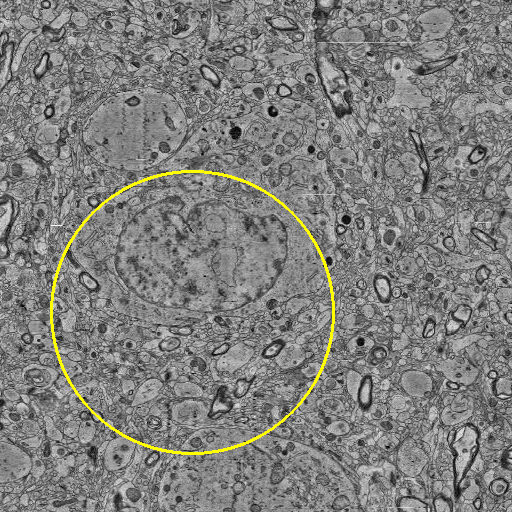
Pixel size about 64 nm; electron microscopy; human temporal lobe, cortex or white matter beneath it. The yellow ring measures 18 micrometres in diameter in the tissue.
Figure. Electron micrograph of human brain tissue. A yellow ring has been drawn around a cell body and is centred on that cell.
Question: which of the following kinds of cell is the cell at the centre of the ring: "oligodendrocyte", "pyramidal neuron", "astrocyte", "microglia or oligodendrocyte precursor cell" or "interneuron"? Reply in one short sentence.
The cell at the centre of the ring is an interneuron.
